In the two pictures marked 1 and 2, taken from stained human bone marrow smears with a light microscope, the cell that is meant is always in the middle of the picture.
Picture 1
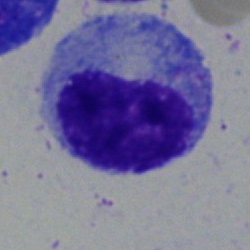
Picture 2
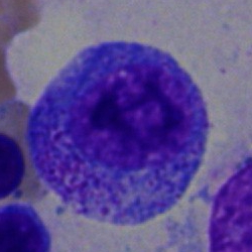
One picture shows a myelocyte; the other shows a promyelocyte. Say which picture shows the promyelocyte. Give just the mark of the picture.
2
